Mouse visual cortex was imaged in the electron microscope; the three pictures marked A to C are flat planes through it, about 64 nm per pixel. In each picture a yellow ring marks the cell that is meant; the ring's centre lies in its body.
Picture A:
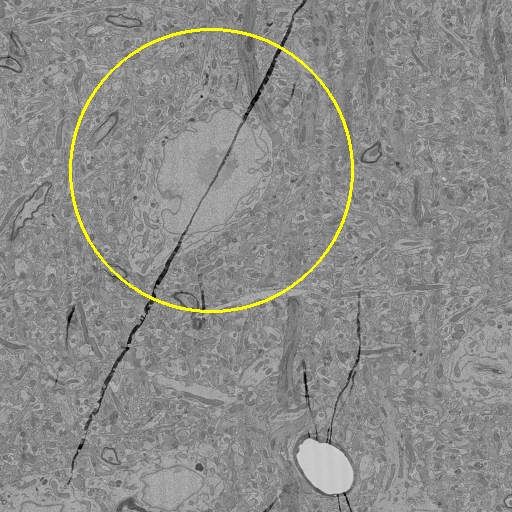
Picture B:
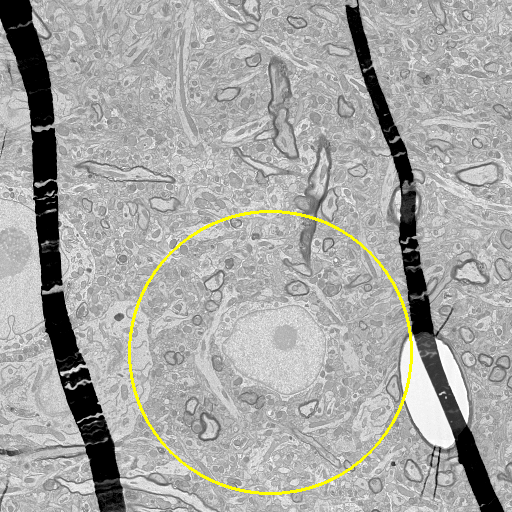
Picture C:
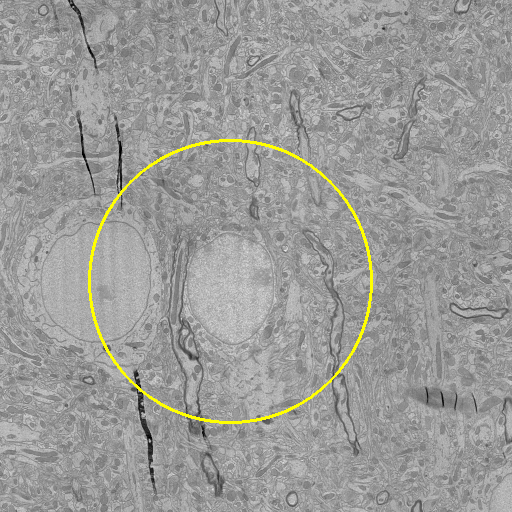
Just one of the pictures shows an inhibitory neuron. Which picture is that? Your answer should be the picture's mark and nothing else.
A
